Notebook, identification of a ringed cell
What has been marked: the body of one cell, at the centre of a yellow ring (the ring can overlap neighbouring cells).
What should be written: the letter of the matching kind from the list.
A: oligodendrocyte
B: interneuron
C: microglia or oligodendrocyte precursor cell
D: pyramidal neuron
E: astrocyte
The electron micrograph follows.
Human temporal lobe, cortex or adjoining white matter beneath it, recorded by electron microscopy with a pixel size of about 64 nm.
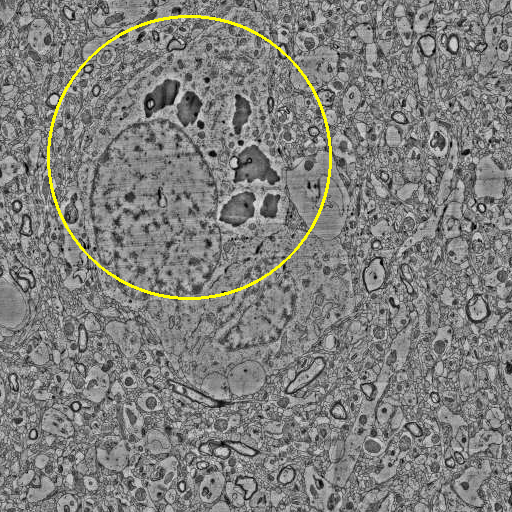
B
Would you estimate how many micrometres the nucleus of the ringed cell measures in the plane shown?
In this plane the nucleus measures roughly 11 by 8 micrometres.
